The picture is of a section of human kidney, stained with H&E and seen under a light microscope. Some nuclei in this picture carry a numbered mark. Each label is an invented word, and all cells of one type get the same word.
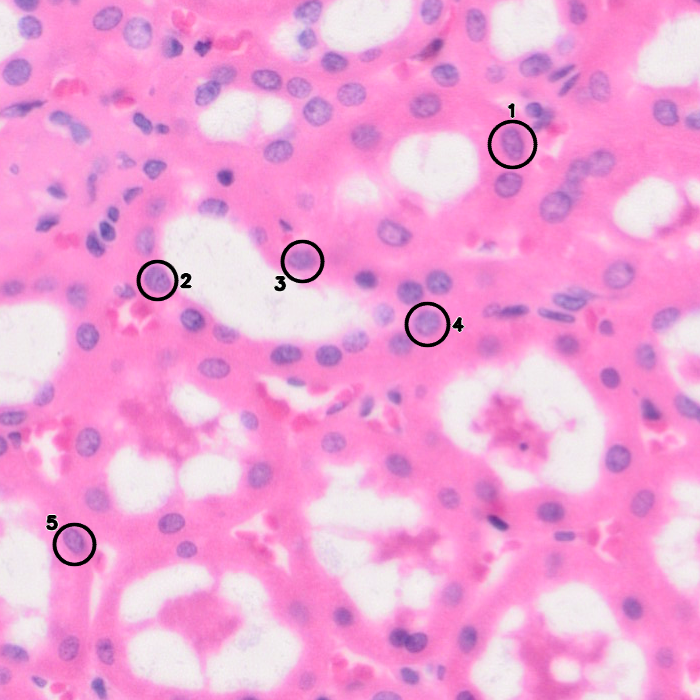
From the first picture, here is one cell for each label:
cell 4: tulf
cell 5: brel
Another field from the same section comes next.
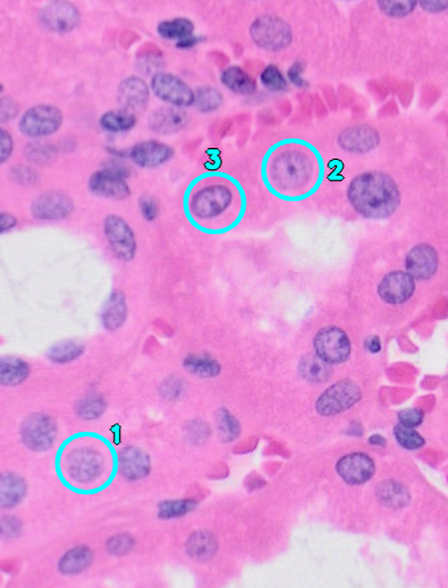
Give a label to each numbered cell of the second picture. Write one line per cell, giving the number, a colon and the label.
1: tulf
2: brel
3: brel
